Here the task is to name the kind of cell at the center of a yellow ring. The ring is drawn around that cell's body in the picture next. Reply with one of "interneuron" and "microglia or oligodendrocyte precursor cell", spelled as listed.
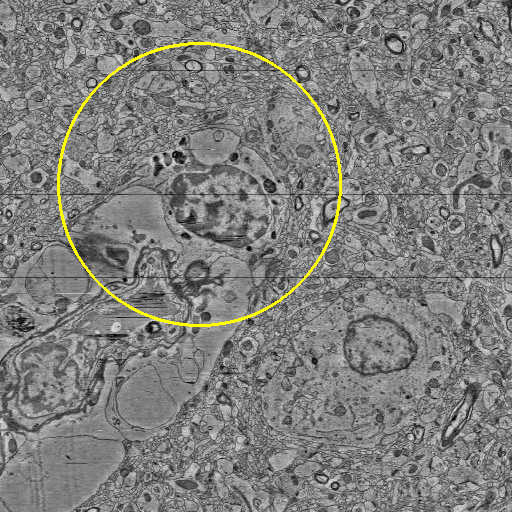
microglia or oligodendrocyte precursor cell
